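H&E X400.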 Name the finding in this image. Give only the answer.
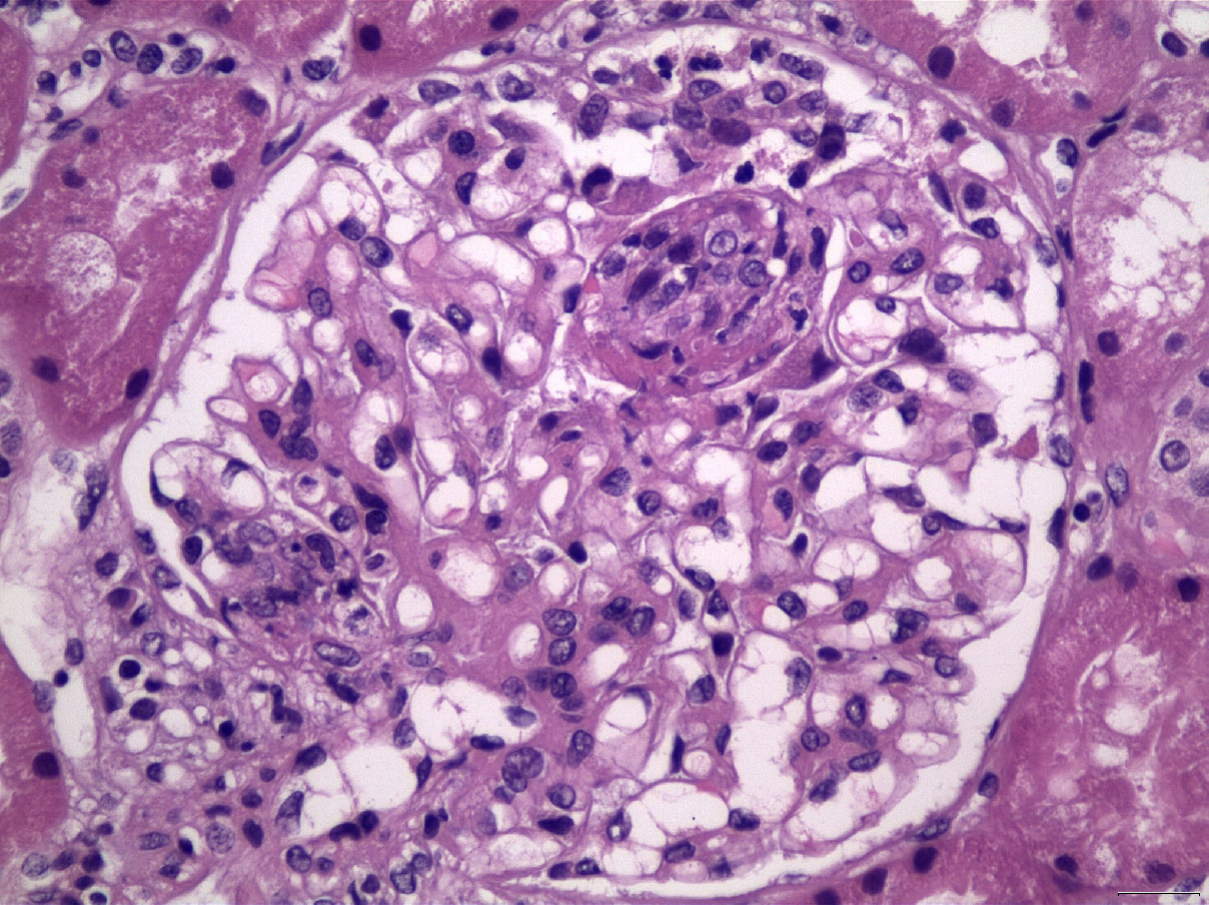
Segmental endocapillary proliferation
